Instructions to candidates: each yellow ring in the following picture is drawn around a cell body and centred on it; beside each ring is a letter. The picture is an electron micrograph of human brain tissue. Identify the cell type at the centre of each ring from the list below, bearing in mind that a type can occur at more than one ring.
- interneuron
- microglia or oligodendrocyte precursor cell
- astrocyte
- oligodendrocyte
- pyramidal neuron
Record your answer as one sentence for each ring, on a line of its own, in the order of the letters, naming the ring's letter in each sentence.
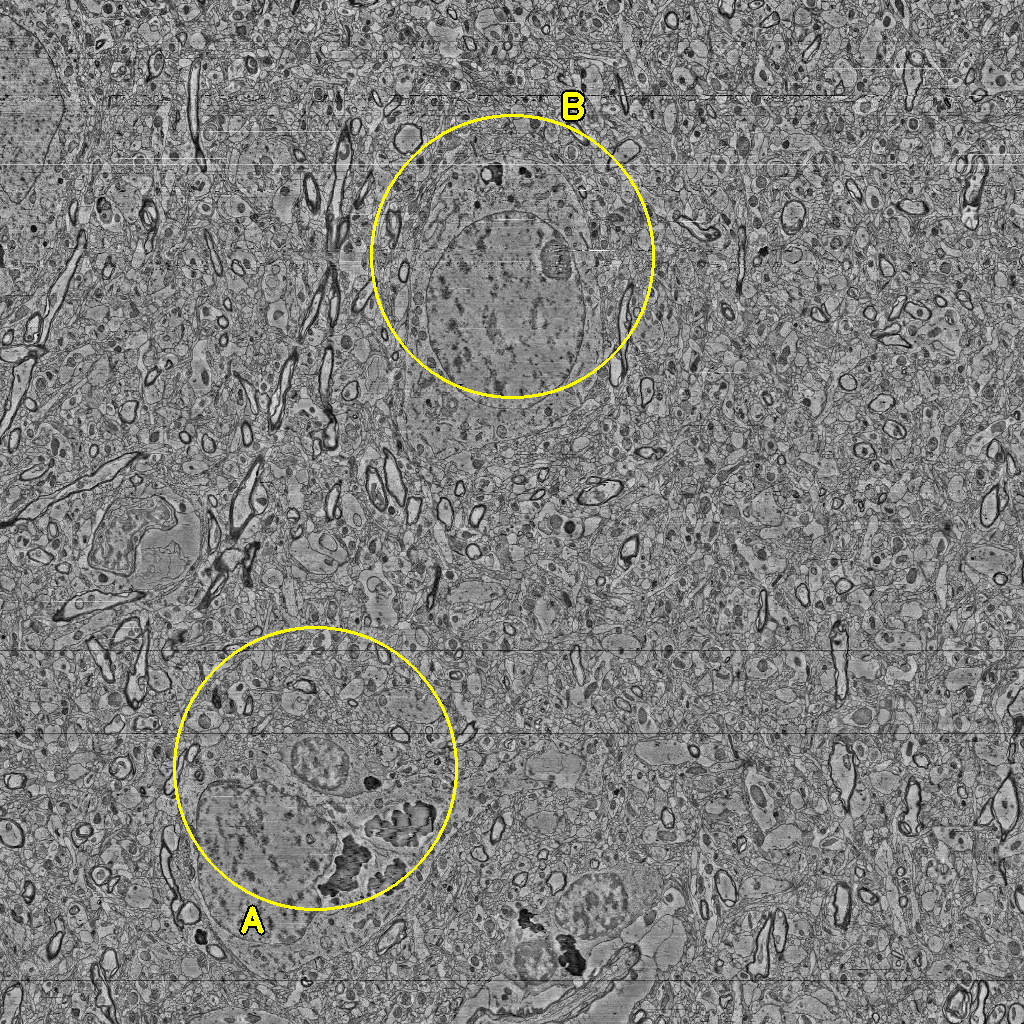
The cell centred in ring A is an oligodendrocyte.
The cell centred in ring B is a pyramidal neuron.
